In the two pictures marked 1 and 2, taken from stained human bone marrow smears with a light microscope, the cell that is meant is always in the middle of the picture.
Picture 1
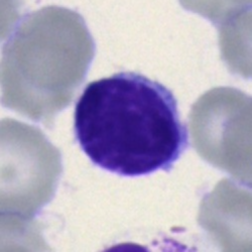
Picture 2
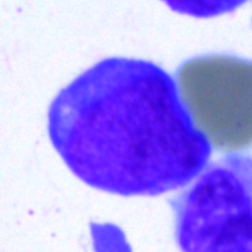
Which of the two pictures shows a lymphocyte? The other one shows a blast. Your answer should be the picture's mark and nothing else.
1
